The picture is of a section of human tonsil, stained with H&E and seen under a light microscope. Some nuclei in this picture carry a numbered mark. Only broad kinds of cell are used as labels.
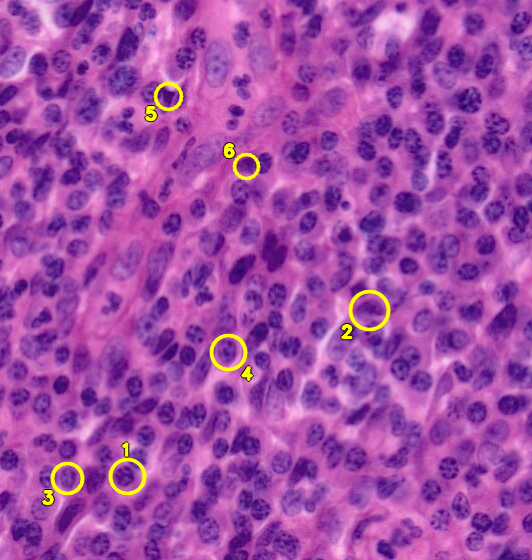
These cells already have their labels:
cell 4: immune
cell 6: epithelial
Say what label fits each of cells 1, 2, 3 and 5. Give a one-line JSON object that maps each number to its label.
{"1": "immune", "2": "epithelial", "3": "immune", "5": "epithelial"}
